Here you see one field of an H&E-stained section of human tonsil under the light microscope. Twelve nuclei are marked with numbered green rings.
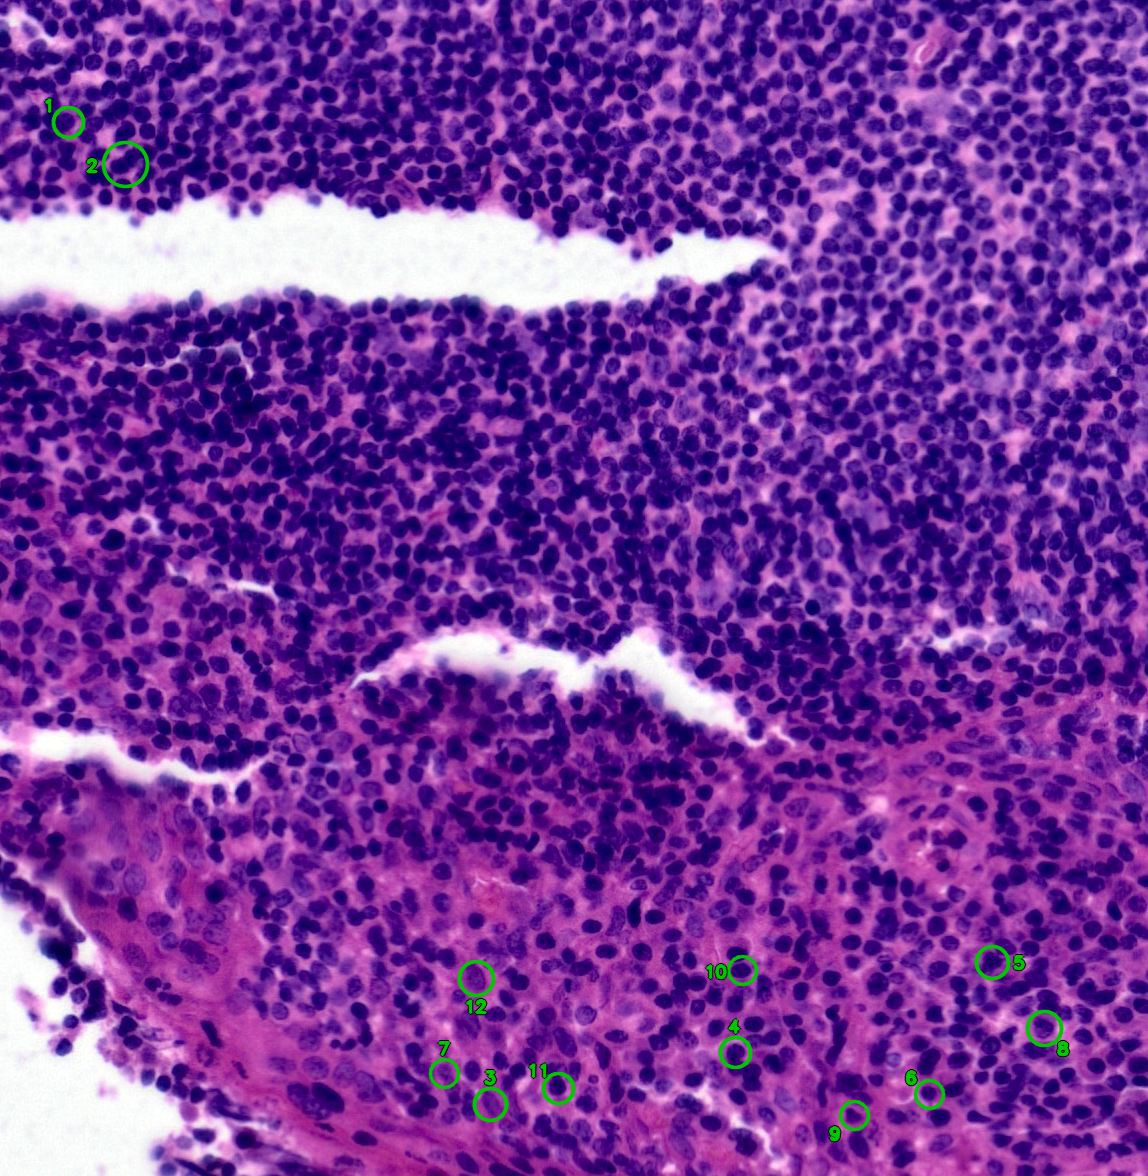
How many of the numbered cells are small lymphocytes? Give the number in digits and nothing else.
2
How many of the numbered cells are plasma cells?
6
